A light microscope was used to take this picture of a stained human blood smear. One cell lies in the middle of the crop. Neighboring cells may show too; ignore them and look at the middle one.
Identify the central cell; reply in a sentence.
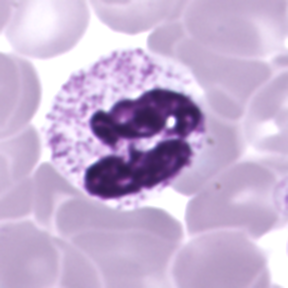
Here the centrally located cell is a segmented neutrophil.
